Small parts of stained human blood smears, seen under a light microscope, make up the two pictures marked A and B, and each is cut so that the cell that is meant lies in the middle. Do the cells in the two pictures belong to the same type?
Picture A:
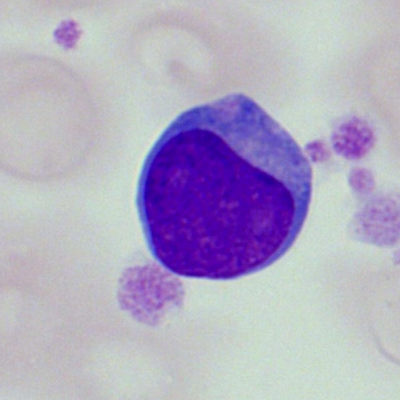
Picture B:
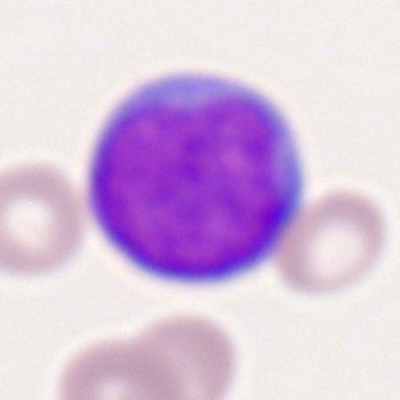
yes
